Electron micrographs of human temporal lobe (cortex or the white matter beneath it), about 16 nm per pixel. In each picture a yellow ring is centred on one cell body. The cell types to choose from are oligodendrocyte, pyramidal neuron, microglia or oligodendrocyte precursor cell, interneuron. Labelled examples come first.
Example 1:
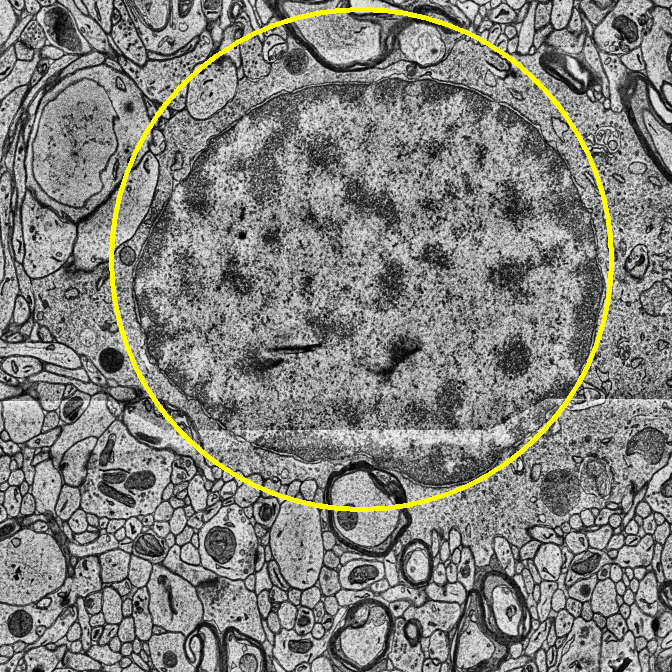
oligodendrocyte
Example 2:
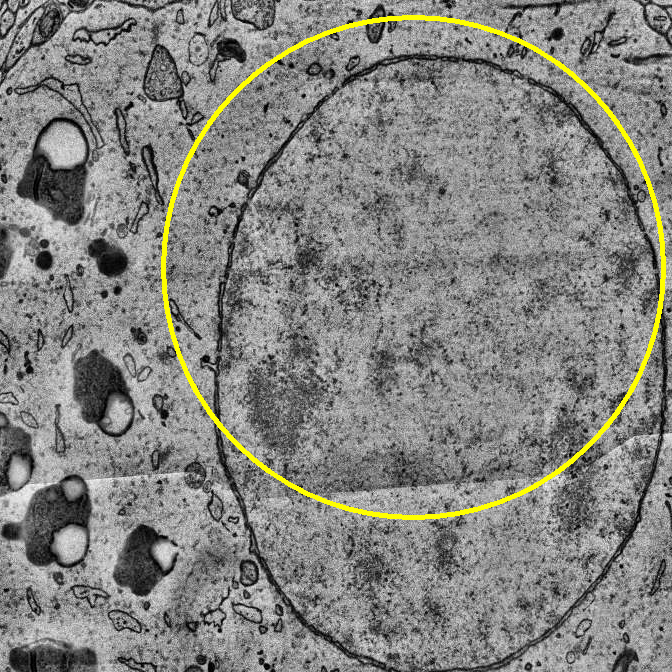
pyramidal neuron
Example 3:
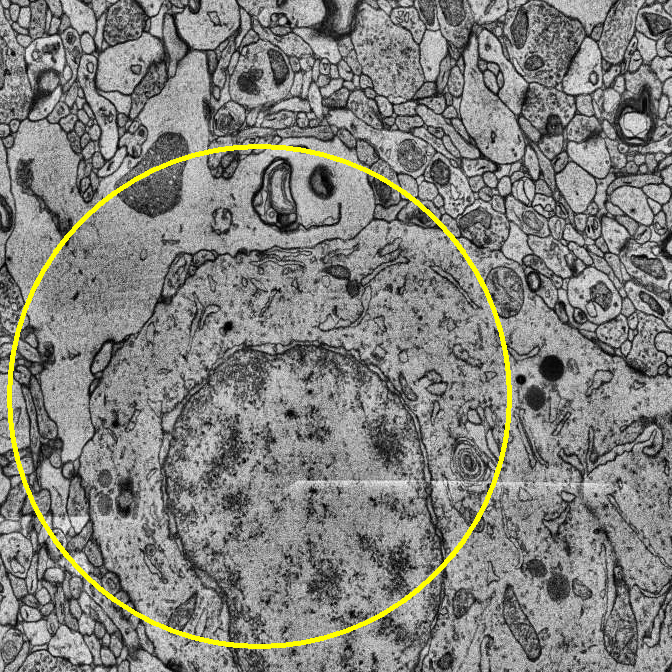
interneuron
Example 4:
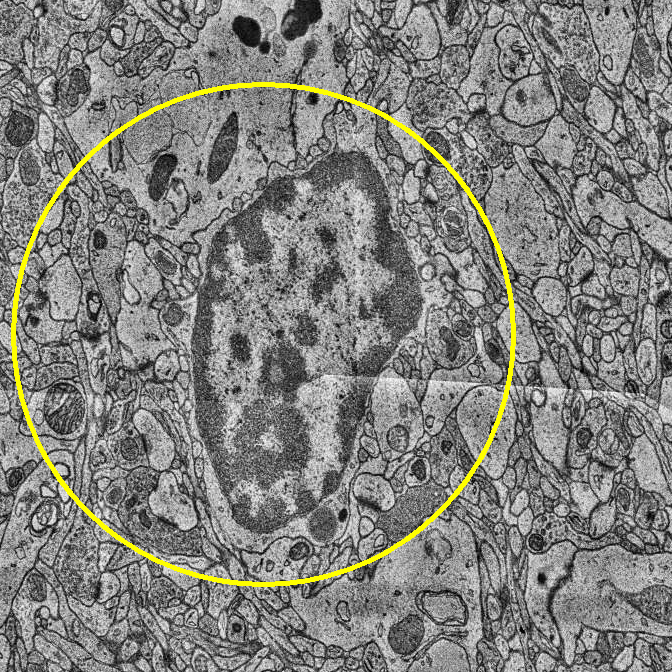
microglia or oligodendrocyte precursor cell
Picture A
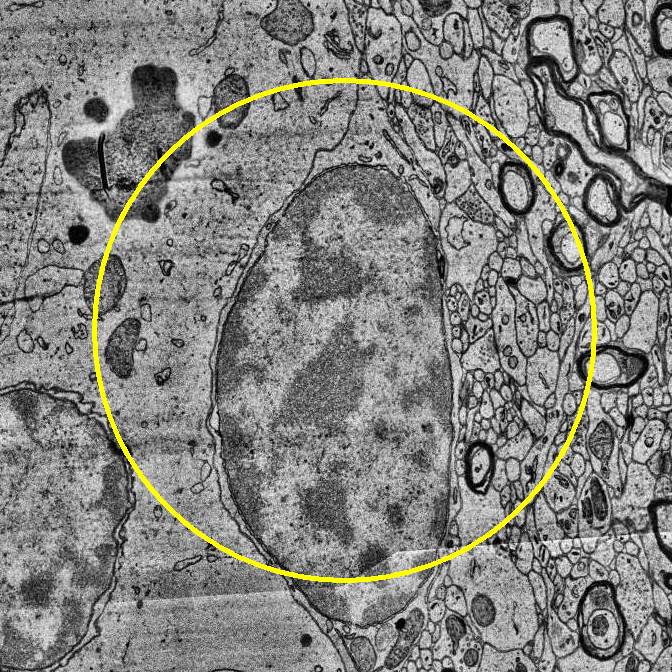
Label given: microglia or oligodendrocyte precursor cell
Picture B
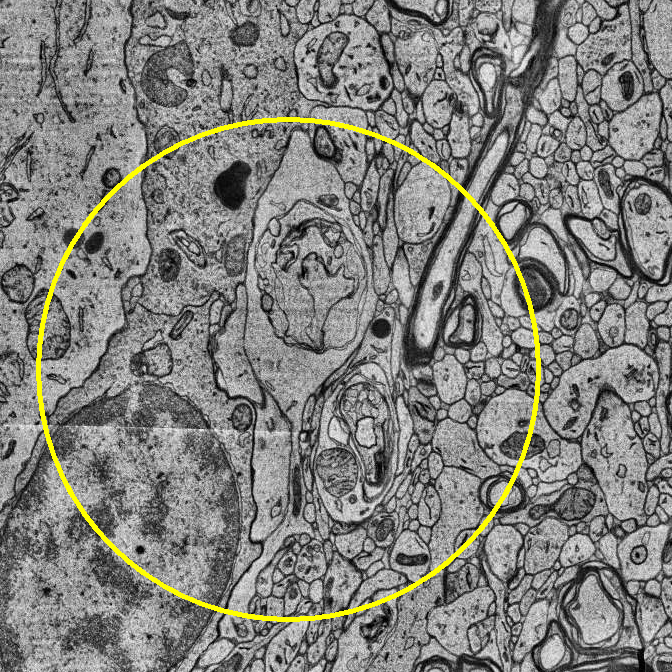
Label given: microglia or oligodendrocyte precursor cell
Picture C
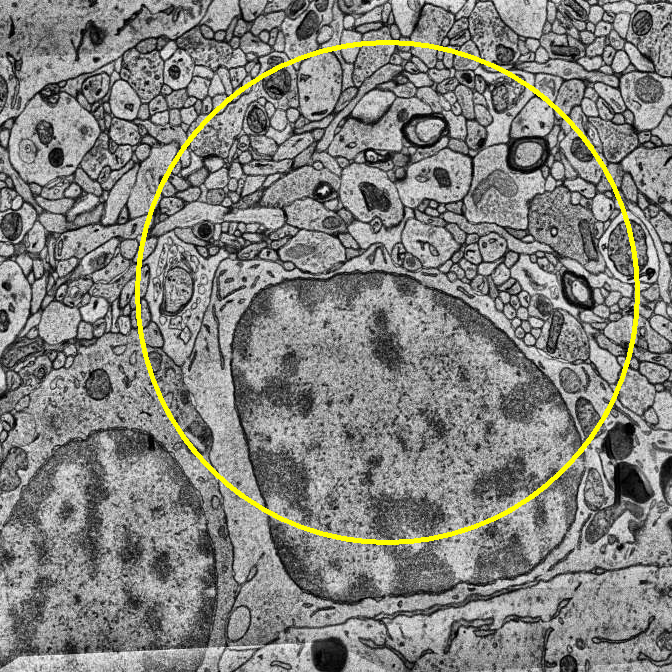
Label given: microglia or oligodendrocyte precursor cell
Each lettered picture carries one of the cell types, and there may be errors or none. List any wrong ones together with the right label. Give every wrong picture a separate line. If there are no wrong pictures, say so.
Every label is right.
